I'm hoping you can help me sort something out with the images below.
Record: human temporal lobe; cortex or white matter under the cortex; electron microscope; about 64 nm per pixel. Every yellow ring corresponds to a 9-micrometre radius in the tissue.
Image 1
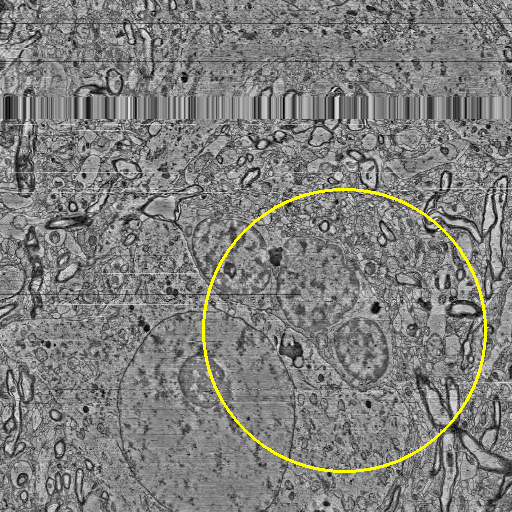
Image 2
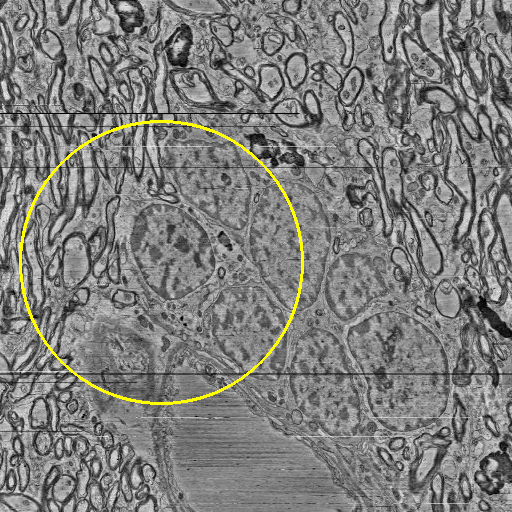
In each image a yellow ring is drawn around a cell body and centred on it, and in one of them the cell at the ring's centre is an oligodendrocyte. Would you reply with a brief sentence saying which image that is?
In Image 1, the cell at the centre of the ring is the one you asked about.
